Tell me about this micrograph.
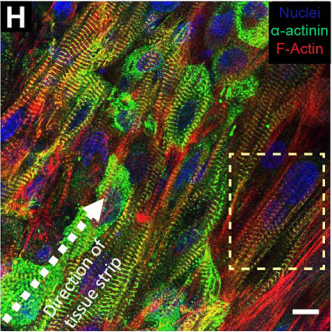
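Across many cells the green label forms fine, regularly spaced transverse striations, giving the cells a ladder-like look, while red filaments run lengthwise along them. Oval blue nuclei sit centrally within the cells, several in view. Some areas on the left show more diffuse green without clear banding, where cells overlap or are cut obliquely. A dashed box marks a region of well-striated parallel fibres on the right.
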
